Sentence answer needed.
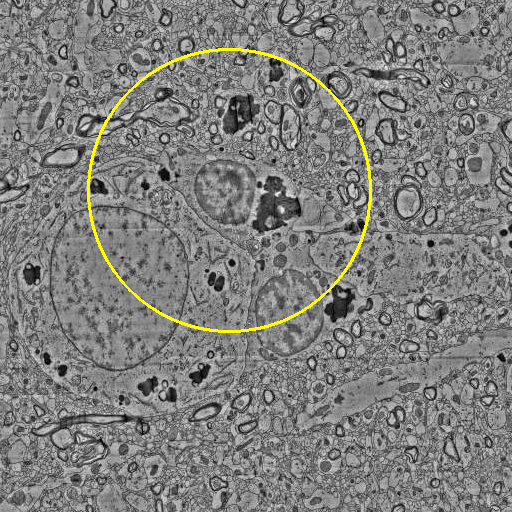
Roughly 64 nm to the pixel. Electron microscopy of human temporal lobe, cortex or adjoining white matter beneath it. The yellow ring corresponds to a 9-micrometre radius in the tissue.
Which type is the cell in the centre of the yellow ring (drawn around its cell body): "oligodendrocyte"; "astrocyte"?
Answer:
In the centre of the yellow ring is an oligodendrocyte.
